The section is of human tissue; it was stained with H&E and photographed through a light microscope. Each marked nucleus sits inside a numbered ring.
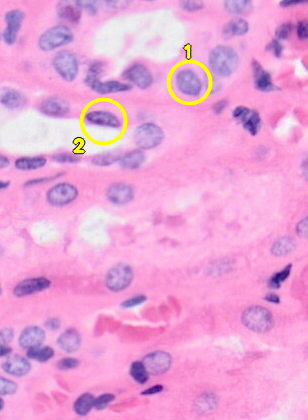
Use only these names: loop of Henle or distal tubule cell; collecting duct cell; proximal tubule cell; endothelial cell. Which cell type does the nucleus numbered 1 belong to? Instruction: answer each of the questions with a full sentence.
Here the cell numbered 1 is a collecting duct cell.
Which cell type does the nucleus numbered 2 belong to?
Number 2 is placed on a loop of Henle or distal tubule cell here.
